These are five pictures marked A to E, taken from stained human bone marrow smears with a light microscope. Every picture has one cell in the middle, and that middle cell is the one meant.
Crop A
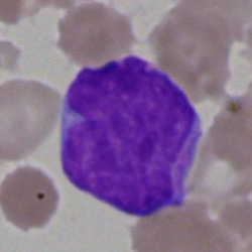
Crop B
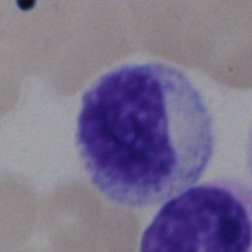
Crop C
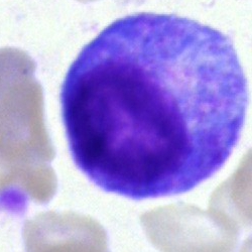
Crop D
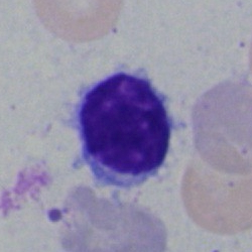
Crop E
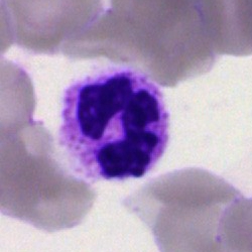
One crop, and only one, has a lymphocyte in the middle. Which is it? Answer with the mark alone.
D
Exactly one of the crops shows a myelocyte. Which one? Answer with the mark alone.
B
